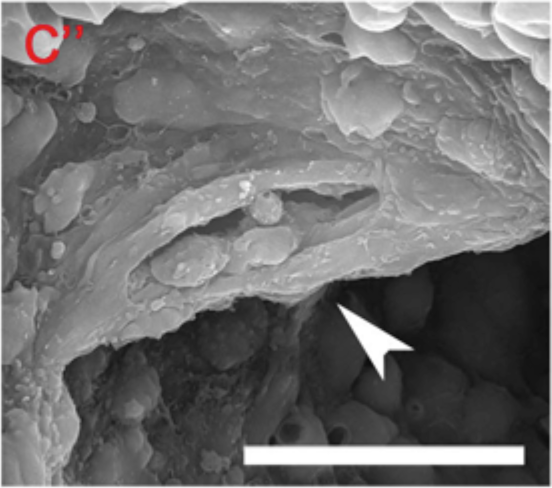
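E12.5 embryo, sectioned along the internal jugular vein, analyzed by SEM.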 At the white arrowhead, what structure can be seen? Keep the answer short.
An opening connecting the lymph and blood circulations.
